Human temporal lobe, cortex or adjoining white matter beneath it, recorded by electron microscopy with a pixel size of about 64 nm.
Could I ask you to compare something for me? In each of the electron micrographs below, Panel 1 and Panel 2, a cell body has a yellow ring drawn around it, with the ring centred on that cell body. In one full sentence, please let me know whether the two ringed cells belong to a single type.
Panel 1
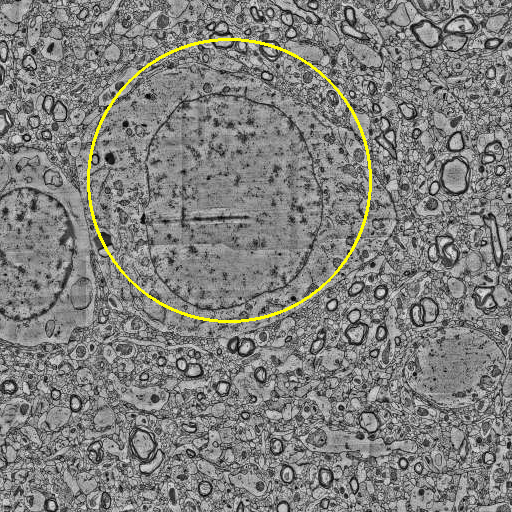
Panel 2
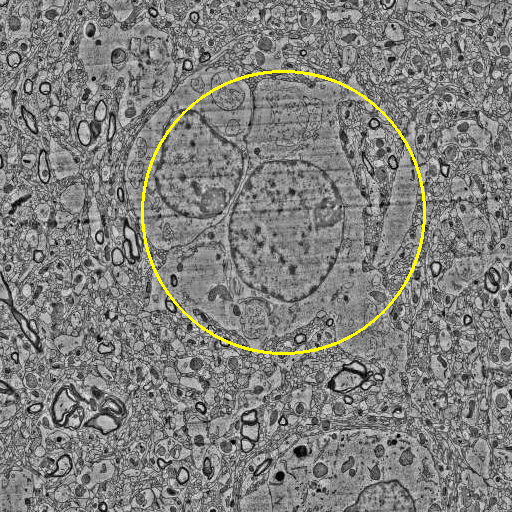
No, the two cells at the centres of the rings are of two types.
